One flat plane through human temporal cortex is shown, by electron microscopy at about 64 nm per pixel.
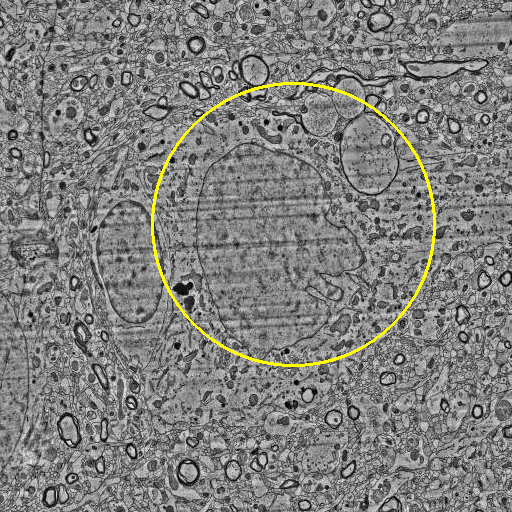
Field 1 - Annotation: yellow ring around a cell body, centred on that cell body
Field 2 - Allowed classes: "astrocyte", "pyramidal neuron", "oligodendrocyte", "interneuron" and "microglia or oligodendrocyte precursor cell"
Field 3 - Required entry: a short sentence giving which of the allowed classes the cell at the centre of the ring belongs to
The centred cell is a pyramidal neuron.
